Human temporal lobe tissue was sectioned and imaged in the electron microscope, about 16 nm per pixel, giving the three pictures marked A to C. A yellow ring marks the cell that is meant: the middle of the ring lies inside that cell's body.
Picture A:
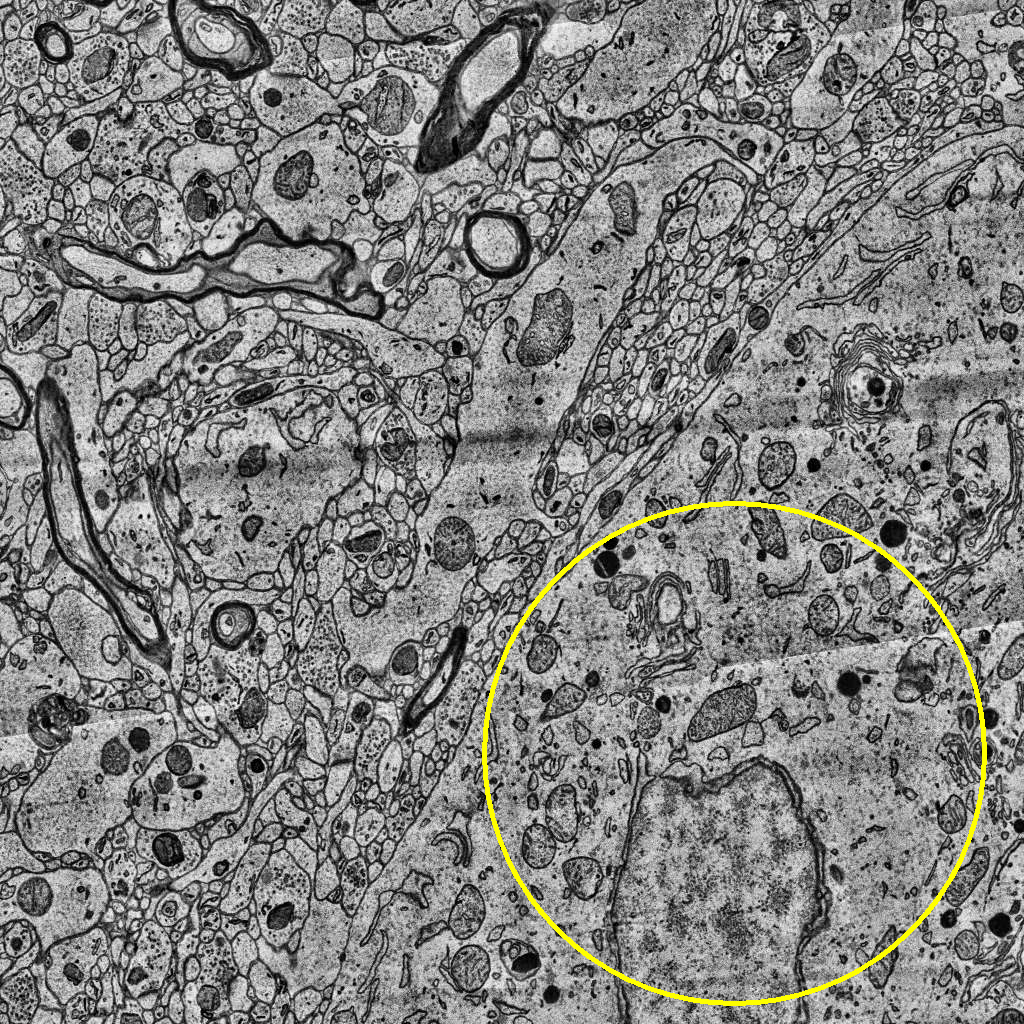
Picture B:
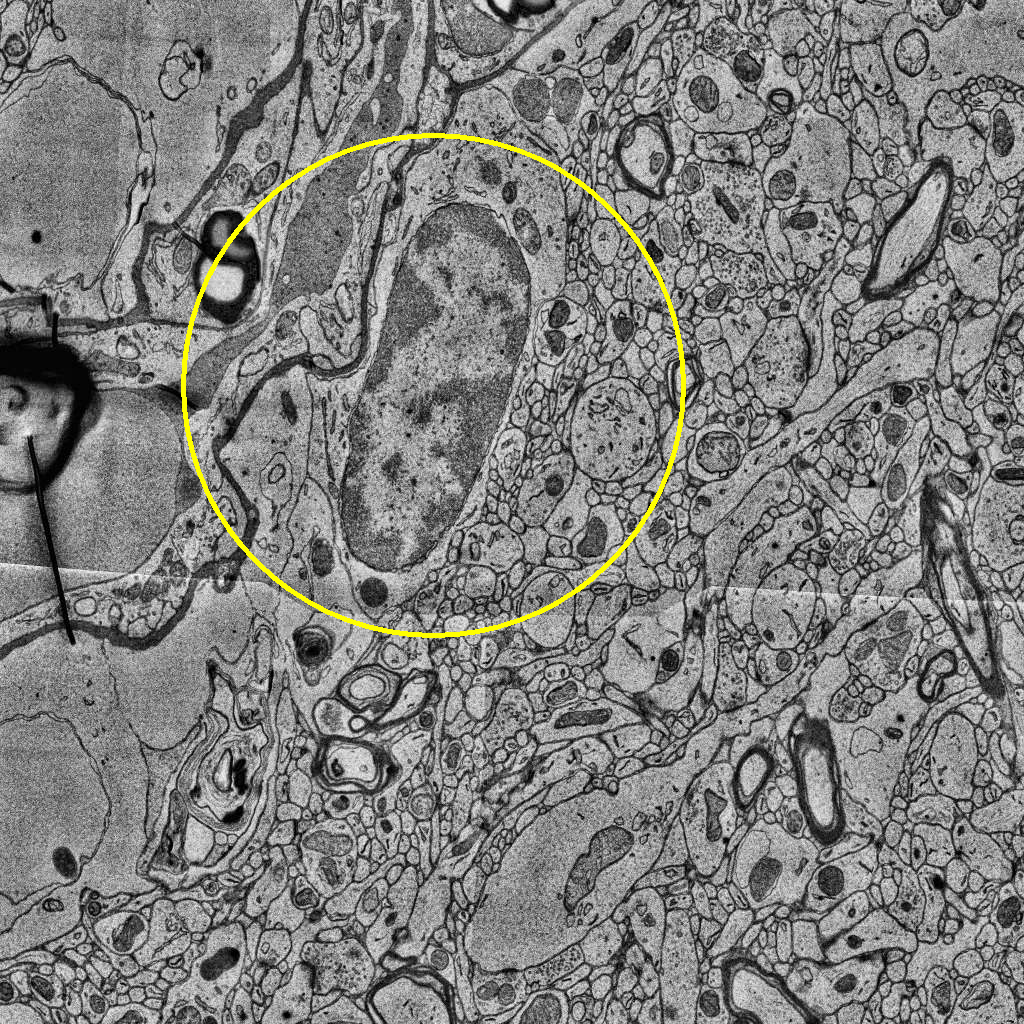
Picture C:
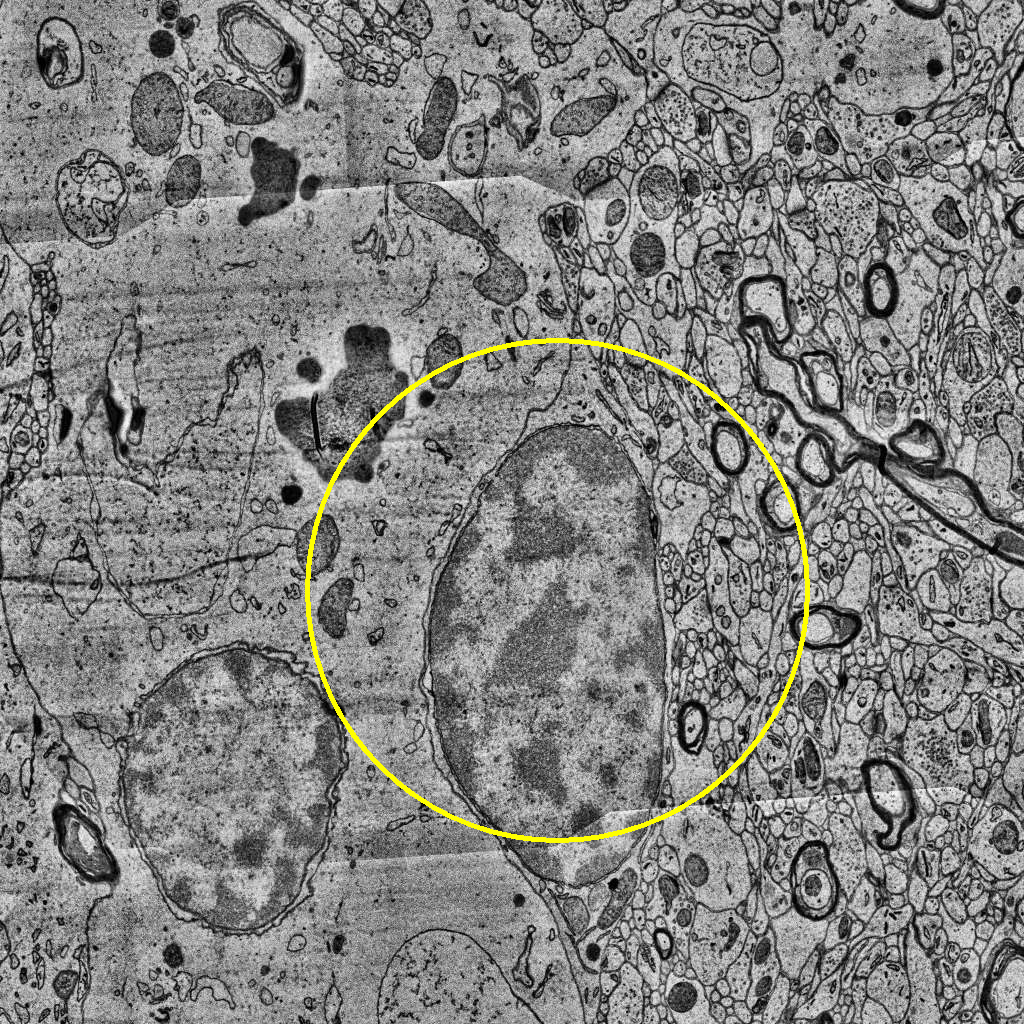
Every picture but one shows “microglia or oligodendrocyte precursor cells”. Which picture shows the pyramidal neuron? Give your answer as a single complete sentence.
Picture A shows the pyramidal neuron.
